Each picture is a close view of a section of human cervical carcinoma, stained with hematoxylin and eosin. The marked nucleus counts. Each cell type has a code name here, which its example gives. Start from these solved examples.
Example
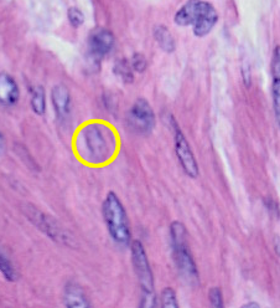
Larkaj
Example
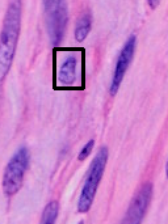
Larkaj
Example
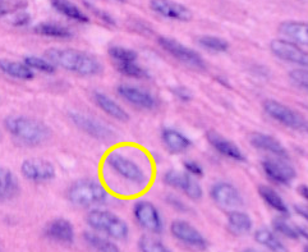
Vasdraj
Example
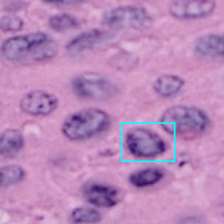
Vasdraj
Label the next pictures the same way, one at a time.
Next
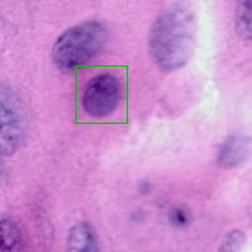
Vasdraj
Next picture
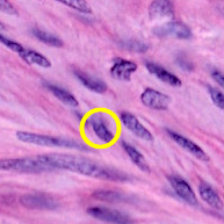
Larkaj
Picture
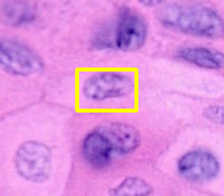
Vasdraj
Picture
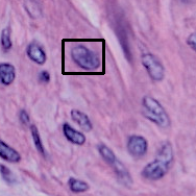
Larkaj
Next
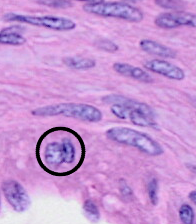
Larkaj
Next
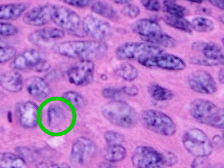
Vasdraj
